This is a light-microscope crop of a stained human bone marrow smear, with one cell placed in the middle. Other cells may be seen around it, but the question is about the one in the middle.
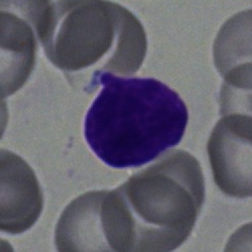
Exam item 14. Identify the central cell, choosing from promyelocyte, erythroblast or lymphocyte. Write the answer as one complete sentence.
Here the cell in the middle is a lymphocyte.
